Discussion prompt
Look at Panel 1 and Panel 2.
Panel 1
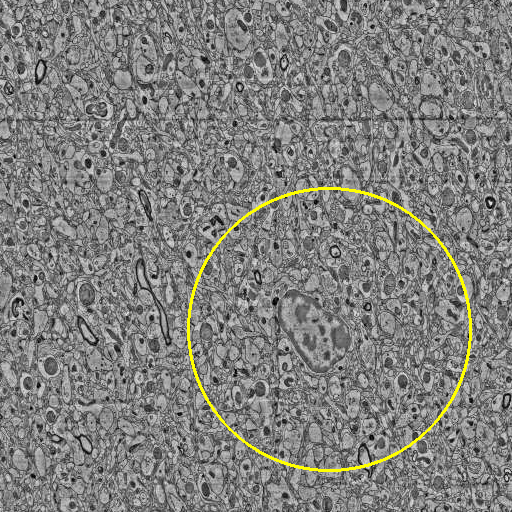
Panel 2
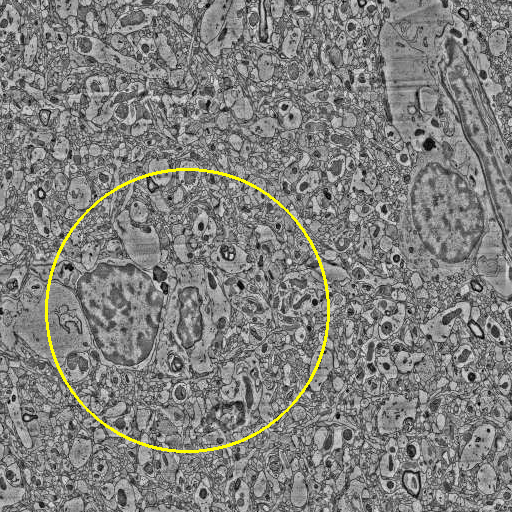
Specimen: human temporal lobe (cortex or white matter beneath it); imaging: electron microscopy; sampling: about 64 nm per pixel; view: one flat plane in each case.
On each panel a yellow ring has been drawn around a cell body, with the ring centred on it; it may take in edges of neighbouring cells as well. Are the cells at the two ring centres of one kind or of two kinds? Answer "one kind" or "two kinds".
one kind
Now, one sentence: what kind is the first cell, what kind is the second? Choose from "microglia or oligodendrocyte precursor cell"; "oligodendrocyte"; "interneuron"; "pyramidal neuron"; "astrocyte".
In each of the two pictures, the ringed cell is a microglial cell or oligodendrocyte precursor cell.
